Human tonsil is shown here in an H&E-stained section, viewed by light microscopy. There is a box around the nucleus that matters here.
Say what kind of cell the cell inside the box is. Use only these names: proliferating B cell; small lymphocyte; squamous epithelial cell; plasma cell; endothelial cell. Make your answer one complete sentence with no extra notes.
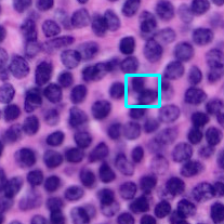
Microscopically, the cell inside the box is categorized as a small lymphocyte.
